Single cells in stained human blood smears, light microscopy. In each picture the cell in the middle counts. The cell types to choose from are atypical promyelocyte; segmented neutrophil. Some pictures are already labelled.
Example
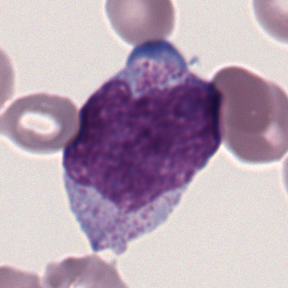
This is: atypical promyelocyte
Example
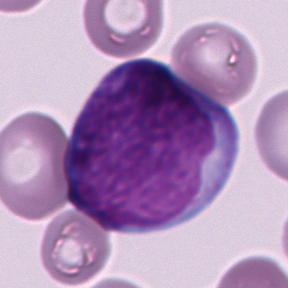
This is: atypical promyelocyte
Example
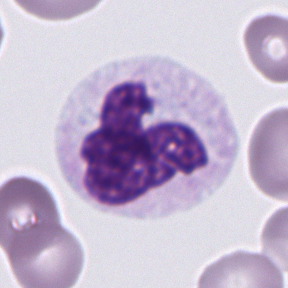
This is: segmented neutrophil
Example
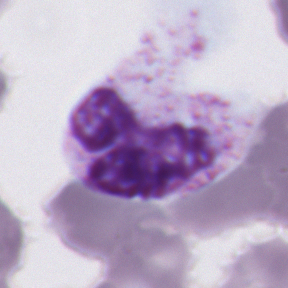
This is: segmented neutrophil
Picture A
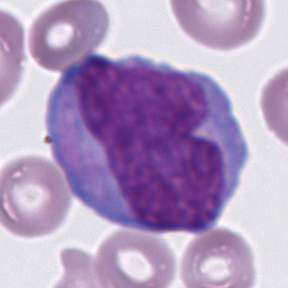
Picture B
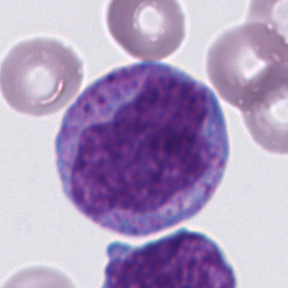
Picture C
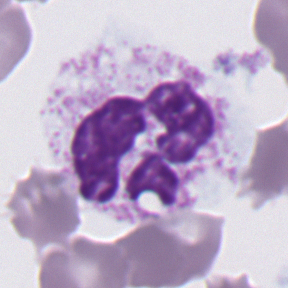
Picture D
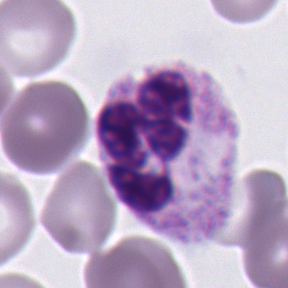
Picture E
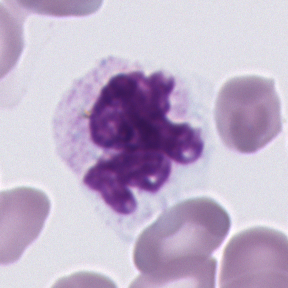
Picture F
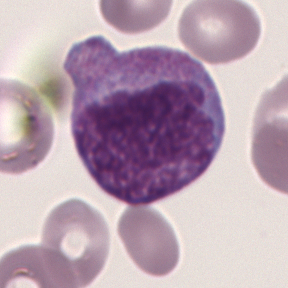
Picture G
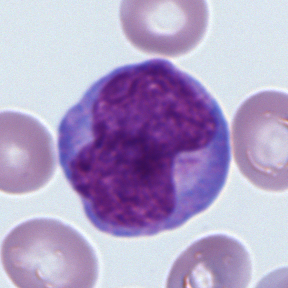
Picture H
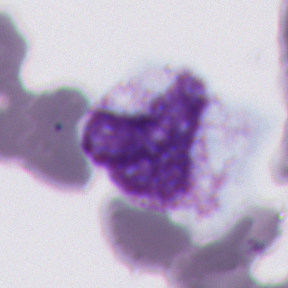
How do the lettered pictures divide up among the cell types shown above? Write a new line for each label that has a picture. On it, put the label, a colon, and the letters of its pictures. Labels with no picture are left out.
atypical promyelocyte: A, B, F, G
segmented neutrophil: C, D, E, H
